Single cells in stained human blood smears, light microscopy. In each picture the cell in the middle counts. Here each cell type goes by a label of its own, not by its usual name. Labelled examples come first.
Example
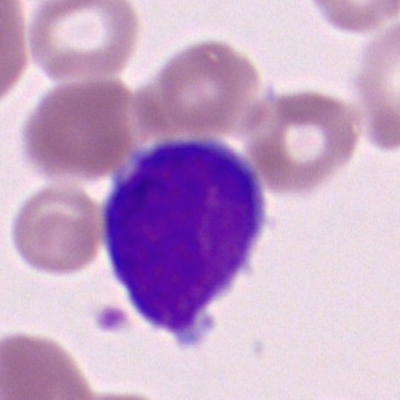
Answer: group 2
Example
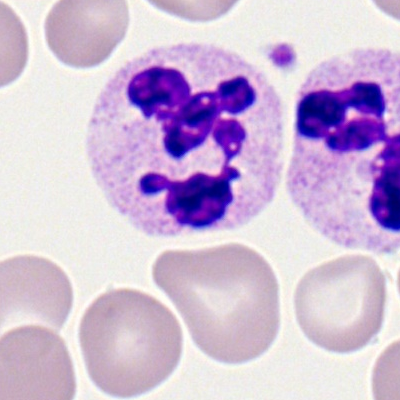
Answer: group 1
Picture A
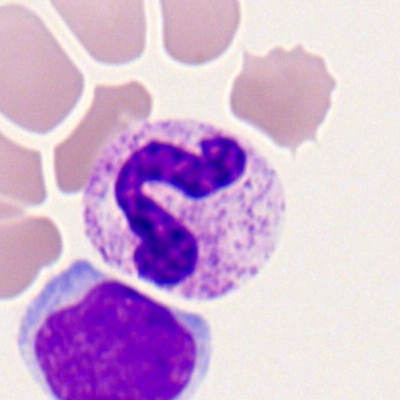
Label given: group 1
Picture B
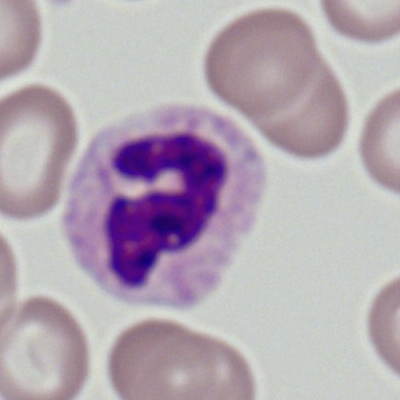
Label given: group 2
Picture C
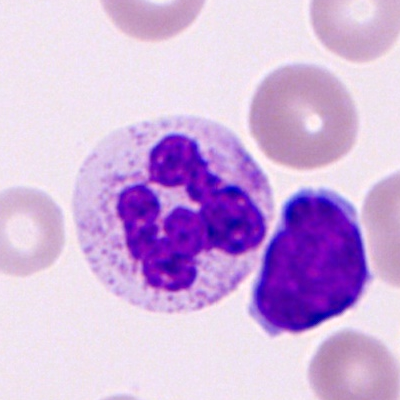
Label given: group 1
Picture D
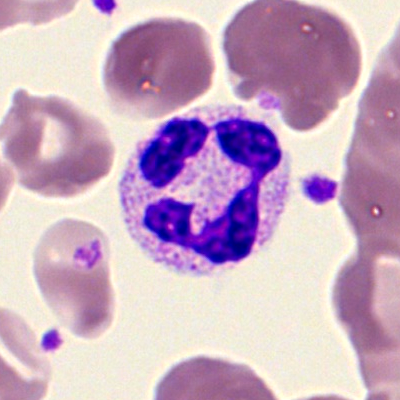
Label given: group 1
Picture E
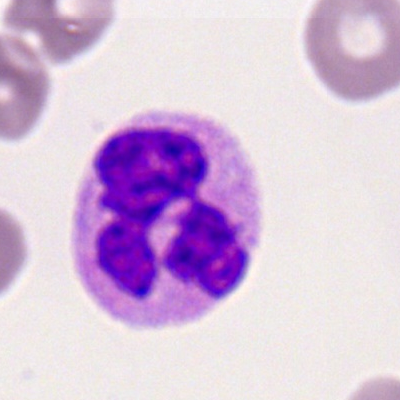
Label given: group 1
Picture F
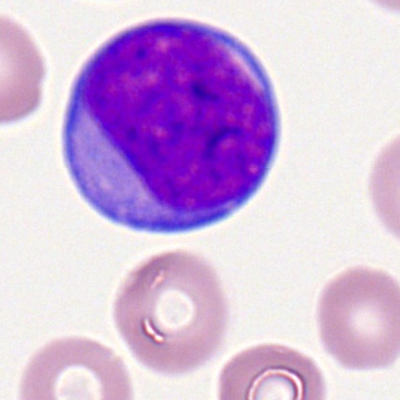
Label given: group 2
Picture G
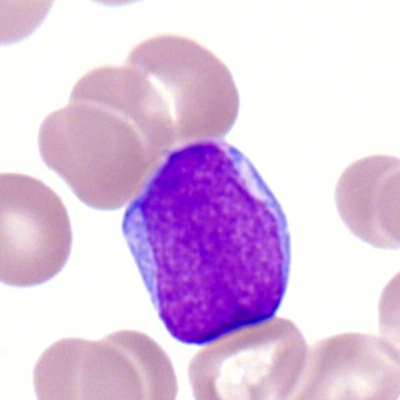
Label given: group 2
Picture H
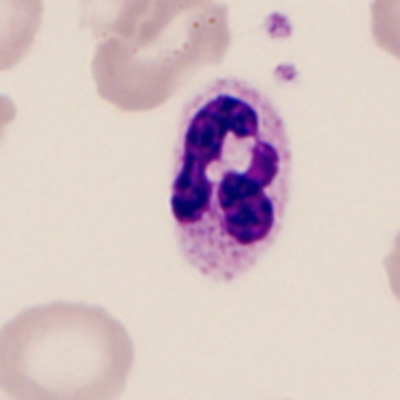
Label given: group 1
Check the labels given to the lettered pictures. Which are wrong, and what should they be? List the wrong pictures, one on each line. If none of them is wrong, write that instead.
Wrong: B (group 2); correct: group 1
